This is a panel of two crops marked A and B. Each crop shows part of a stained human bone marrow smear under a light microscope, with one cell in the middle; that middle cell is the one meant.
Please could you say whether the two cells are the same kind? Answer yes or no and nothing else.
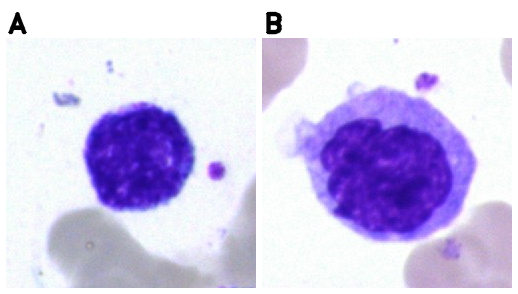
no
